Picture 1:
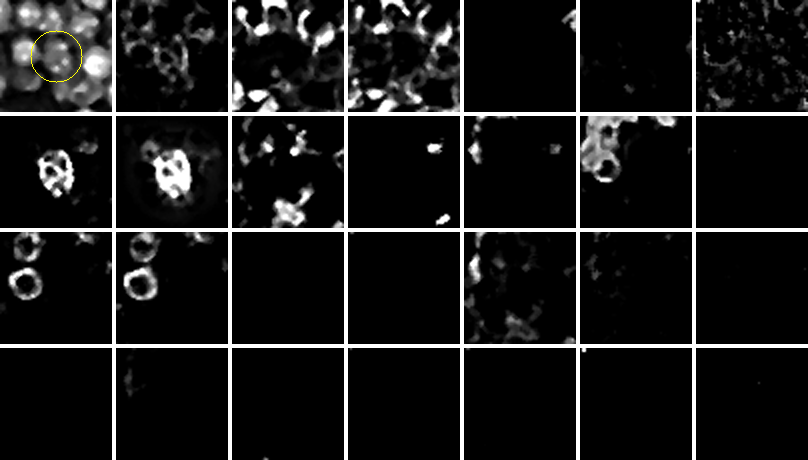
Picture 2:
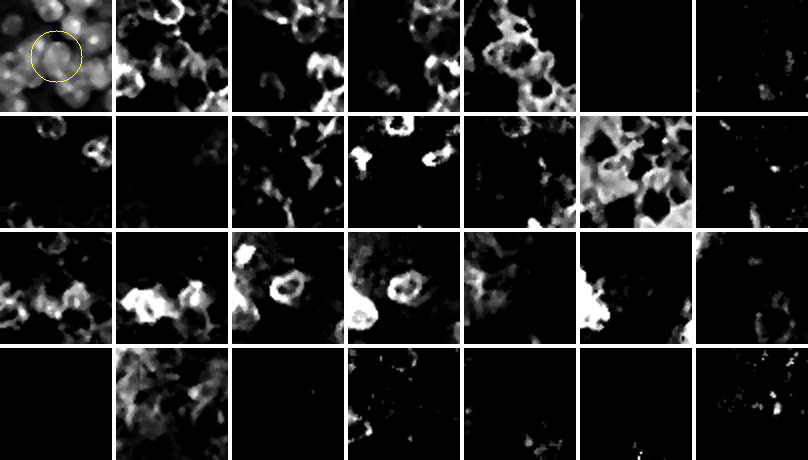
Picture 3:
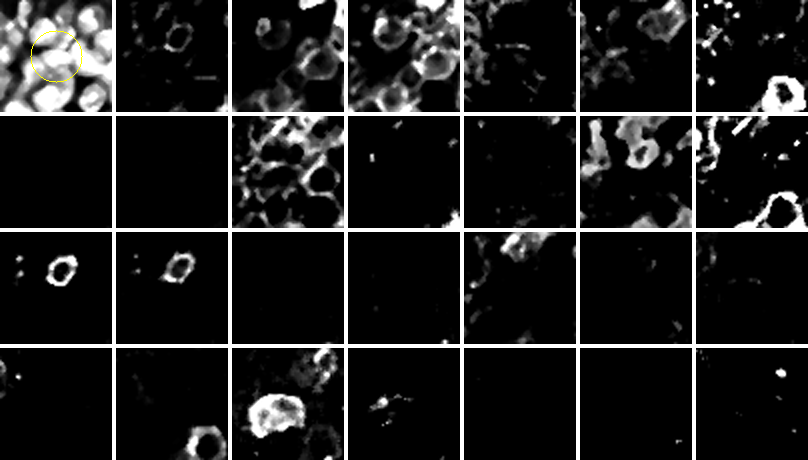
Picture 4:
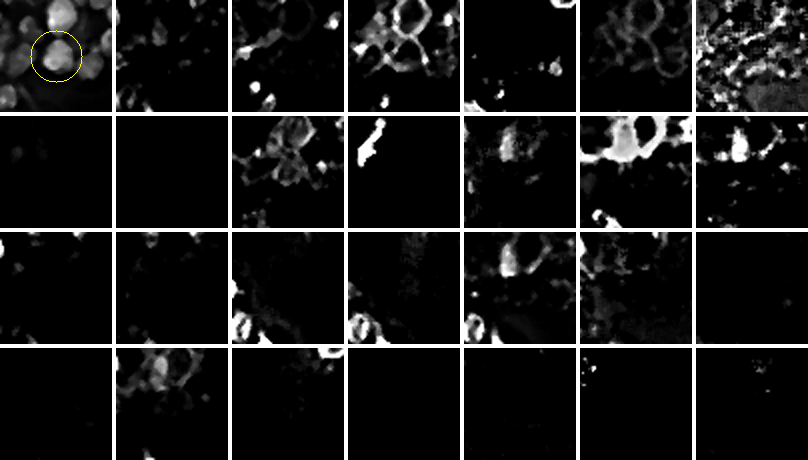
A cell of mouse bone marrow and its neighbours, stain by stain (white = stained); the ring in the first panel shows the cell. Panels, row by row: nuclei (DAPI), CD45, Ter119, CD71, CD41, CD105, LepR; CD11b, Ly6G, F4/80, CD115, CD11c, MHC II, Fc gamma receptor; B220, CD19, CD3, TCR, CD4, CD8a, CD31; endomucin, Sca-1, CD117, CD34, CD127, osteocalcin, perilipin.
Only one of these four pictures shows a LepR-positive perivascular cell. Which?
Picture 4.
